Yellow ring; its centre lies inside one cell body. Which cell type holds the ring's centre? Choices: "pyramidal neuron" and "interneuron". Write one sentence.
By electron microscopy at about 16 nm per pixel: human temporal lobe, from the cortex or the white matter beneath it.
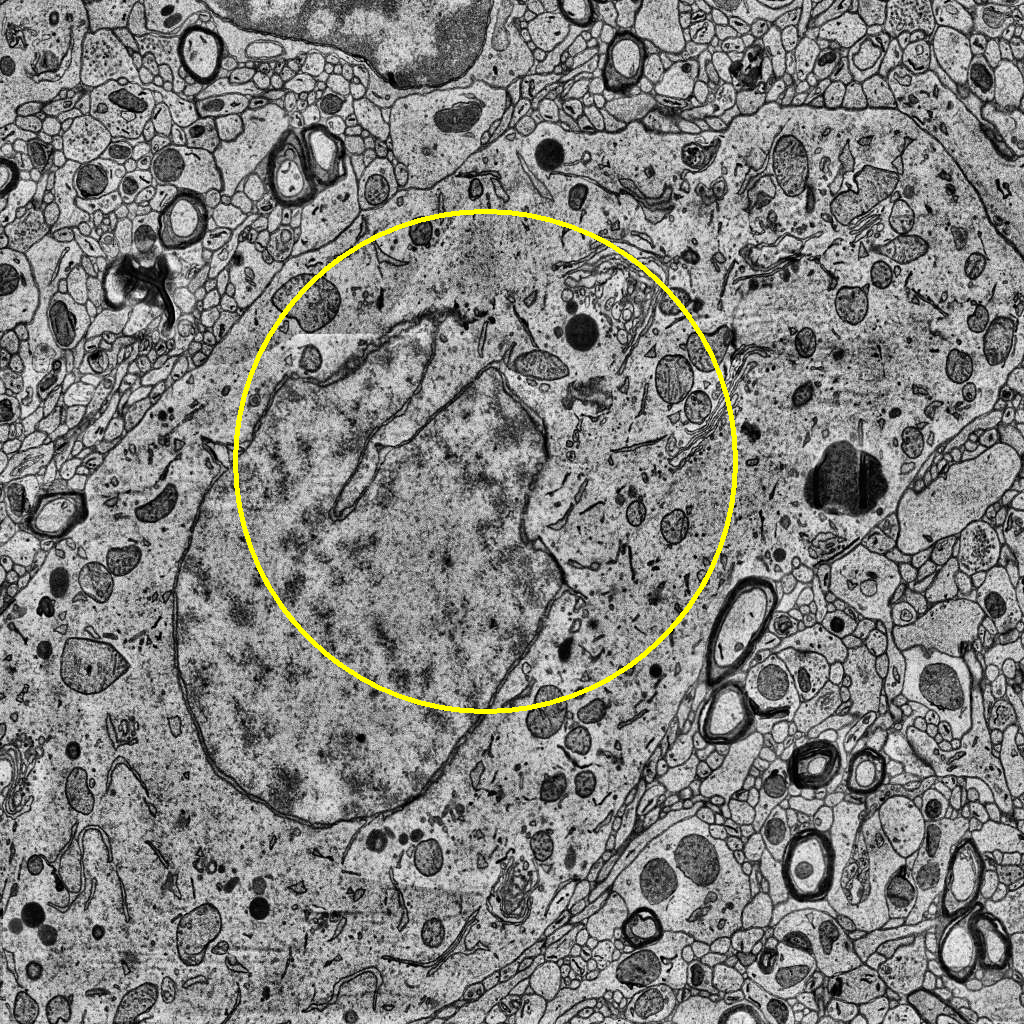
At the centre of the ring sits a pyramidal neuron.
